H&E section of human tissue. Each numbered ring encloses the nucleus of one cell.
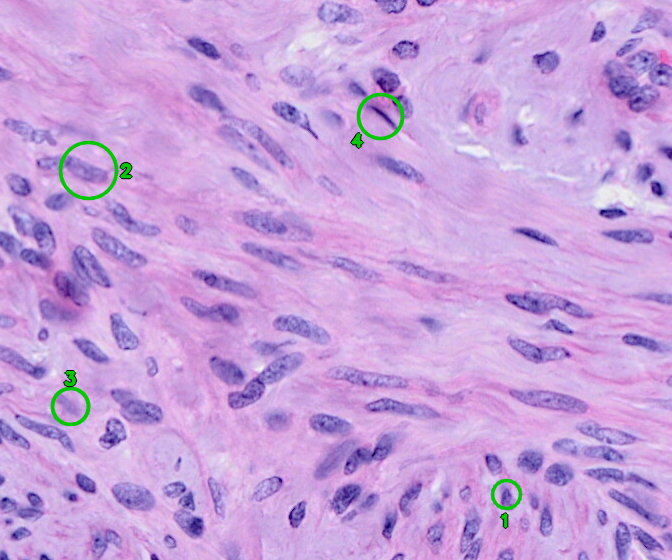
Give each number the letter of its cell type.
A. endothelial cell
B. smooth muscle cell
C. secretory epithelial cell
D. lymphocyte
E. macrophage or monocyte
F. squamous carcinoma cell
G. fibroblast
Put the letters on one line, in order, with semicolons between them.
B; B; B; G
